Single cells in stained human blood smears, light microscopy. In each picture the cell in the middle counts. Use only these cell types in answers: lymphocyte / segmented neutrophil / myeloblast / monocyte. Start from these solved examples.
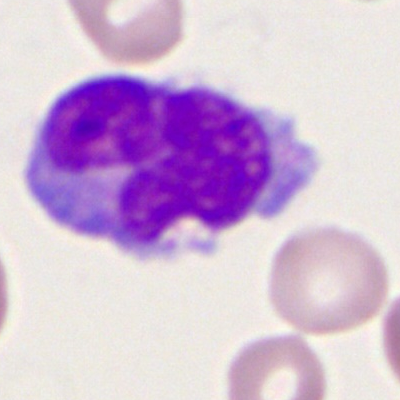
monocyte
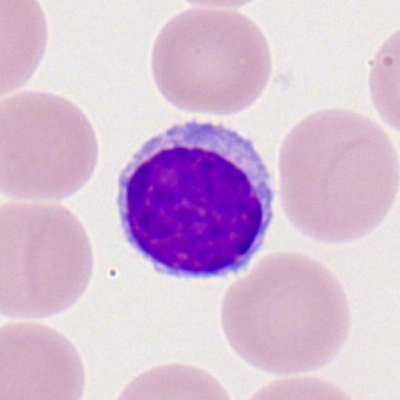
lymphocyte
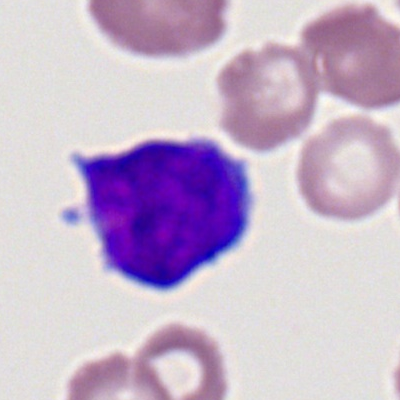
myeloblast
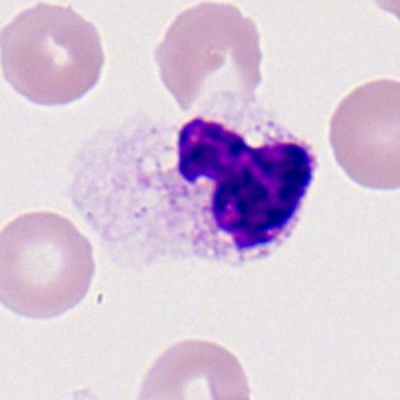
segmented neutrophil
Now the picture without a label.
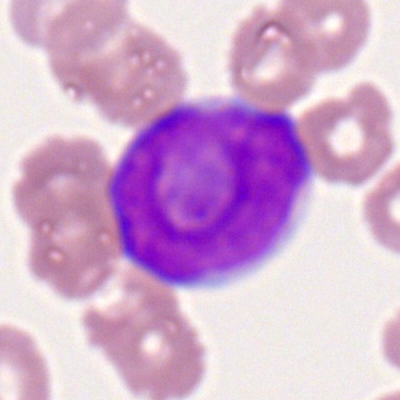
myeloblast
